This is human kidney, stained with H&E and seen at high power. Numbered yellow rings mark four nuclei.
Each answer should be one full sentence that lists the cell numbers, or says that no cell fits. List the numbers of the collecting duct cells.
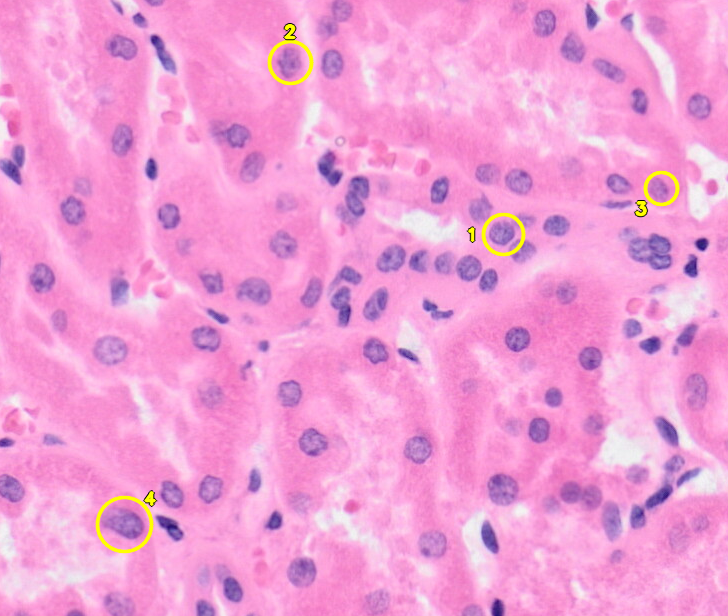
Across all the numbered cells, only number 1 is a collecting duct cell.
